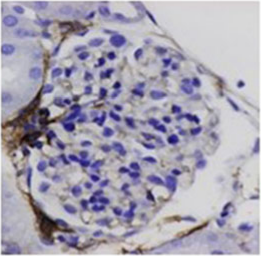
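This is a renal glomerulus, a compact, cell-rich rounded tuft surrounded by a thin capsule and a narrow space. The tuft contains many blue-stained nuclei with little brown staining within it. Brown staining is seen mainly along the capsule and in the tissue at its edge, especially at the lower left. Tubular epithelial cells with pale cytoplasm surround the glomerulus.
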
